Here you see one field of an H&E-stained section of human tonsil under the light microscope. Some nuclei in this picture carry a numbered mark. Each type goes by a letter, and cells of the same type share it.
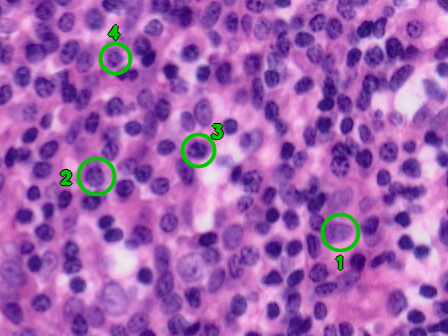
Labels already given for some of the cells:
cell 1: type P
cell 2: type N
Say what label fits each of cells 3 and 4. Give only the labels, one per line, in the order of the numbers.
type N
type N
